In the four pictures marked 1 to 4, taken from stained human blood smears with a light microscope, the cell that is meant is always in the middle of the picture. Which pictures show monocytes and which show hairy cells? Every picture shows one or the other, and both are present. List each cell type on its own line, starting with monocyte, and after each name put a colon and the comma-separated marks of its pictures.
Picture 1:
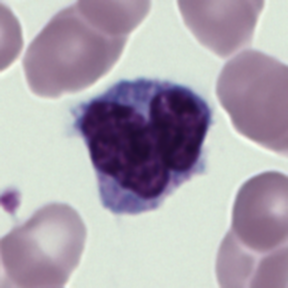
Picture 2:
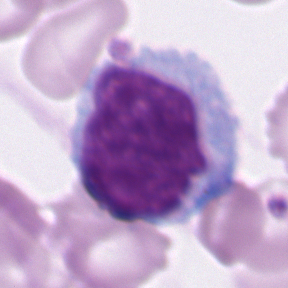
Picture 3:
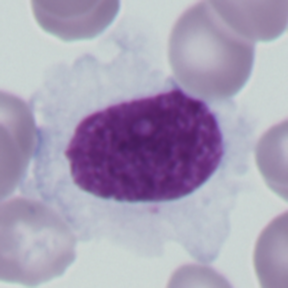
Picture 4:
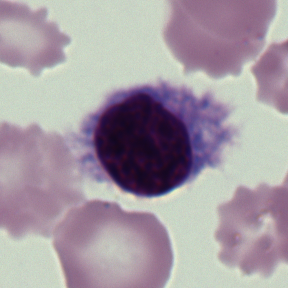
monocyte: 1, 2
hairy cell: 3, 4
